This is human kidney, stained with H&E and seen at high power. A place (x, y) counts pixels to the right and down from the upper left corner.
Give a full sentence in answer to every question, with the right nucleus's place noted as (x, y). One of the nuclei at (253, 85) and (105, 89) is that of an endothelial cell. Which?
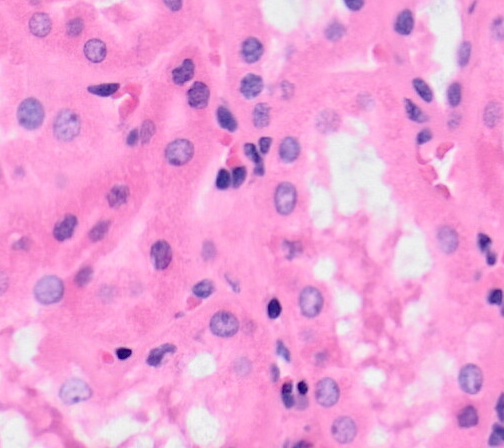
It is the nucleus at (105, 89) that forms part of an endothelial cell.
